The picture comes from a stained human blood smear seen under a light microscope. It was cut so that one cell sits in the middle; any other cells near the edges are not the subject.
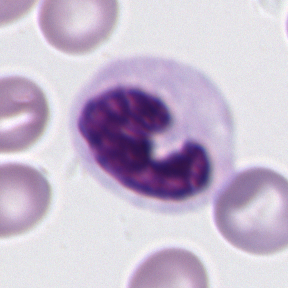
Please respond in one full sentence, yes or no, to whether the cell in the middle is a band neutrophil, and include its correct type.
Yes, the cell at the heart of the crop is a band neutrophil.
